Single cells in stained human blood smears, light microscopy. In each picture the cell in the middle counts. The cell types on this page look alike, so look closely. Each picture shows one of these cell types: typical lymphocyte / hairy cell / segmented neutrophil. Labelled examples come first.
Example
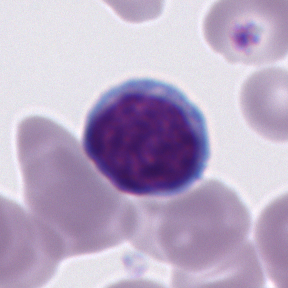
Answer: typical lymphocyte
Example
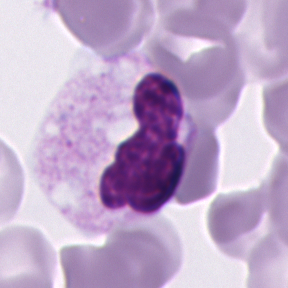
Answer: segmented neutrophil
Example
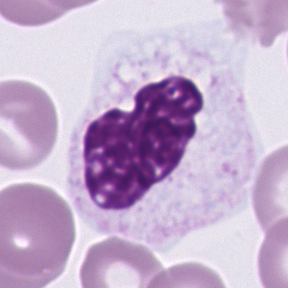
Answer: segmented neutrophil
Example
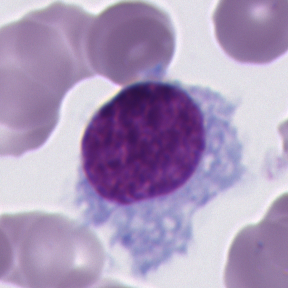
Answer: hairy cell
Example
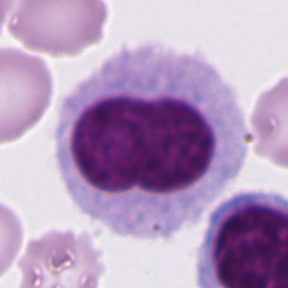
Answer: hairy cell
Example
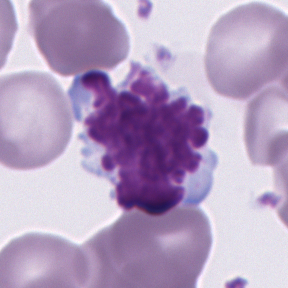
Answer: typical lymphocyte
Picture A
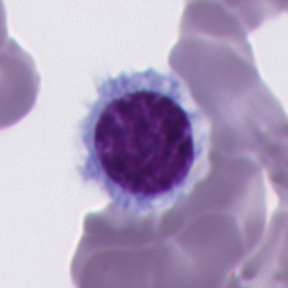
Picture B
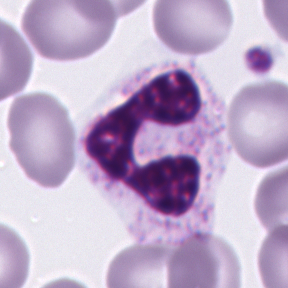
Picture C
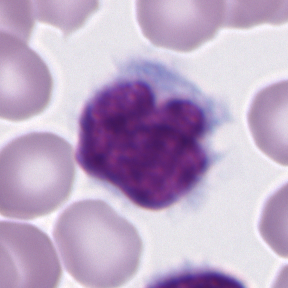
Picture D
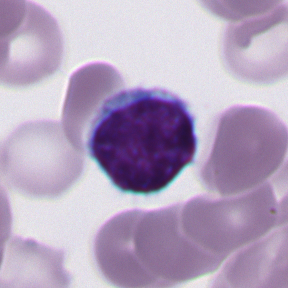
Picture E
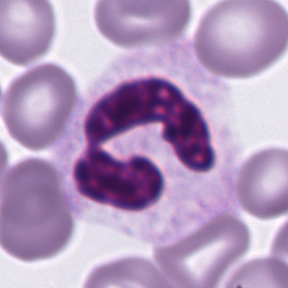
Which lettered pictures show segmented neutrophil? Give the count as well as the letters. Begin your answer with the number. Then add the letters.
2: B, E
